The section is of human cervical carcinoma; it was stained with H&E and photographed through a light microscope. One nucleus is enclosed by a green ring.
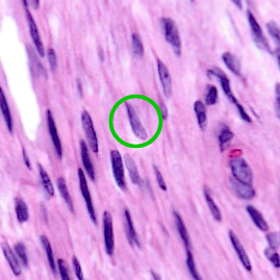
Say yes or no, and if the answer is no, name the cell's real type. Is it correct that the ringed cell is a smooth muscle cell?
No, it is a fibroblast.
